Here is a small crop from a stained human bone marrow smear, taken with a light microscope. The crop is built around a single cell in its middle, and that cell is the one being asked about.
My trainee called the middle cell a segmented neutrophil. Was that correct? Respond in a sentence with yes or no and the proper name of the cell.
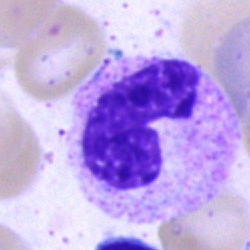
No, the middle one is a band neutrophil rather than a segmented neutrophil.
